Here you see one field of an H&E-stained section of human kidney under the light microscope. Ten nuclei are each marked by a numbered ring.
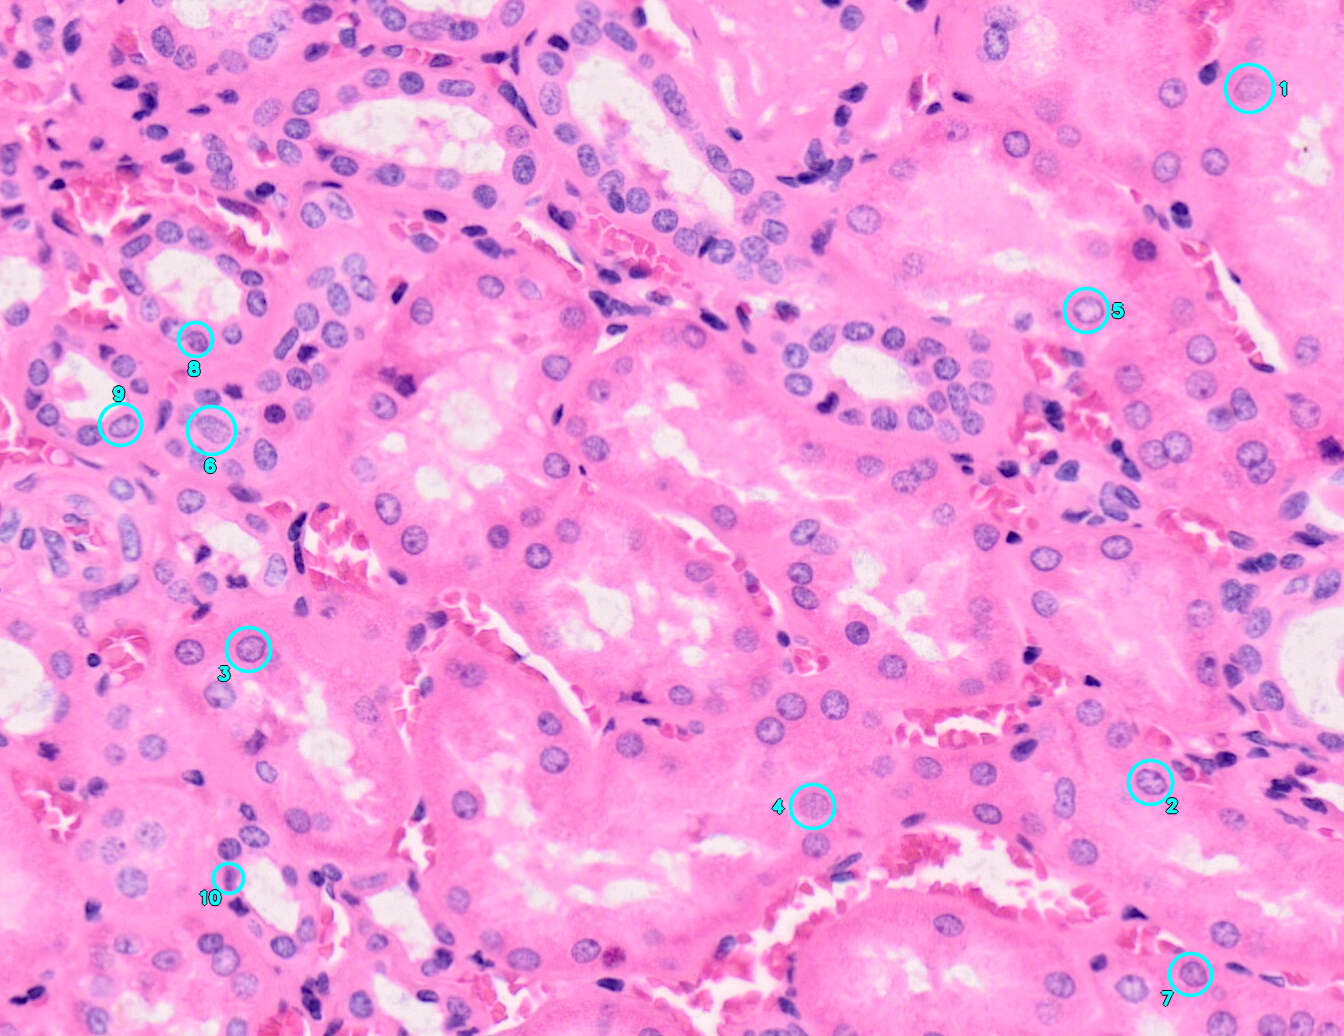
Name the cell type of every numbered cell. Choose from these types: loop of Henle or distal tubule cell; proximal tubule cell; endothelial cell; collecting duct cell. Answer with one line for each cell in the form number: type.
1: proximal tubule cell
2: proximal tubule cell
3: proximal tubule cell
4: proximal tubule cell
5: proximal tubule cell
6: collecting duct cell
7: proximal tubule cell
8: collecting duct cell
9: collecting duct cell
10: collecting duct cell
